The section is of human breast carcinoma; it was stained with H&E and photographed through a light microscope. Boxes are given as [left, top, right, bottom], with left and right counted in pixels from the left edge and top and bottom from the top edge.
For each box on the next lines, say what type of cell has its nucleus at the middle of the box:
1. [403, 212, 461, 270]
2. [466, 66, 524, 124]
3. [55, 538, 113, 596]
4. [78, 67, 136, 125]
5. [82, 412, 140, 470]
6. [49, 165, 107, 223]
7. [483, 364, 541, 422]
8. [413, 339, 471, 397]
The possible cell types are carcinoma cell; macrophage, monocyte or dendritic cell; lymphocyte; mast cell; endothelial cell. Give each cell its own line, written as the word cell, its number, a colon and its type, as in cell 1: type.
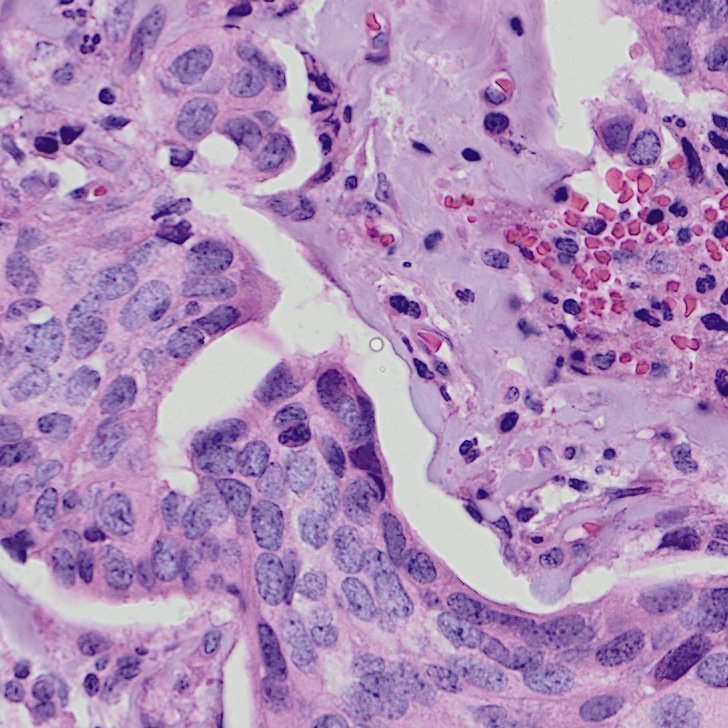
cell 1: lymphocyte
cell 2: endothelial cell
cell 3: carcinoma cell
cell 4: lymphocyte
cell 5: carcinoma cell
cell 6: endothelial cell
cell 7: mast cell
cell 8: endothelial cell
